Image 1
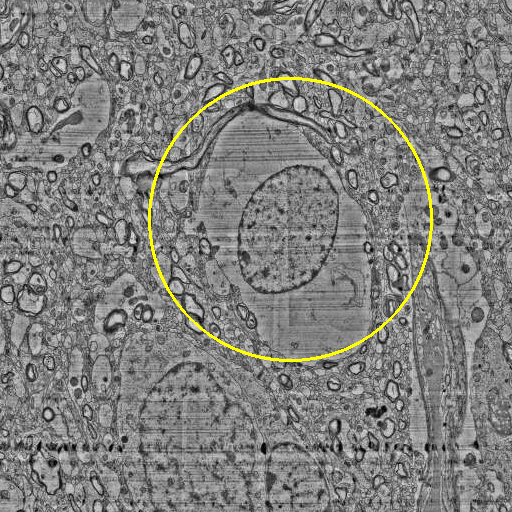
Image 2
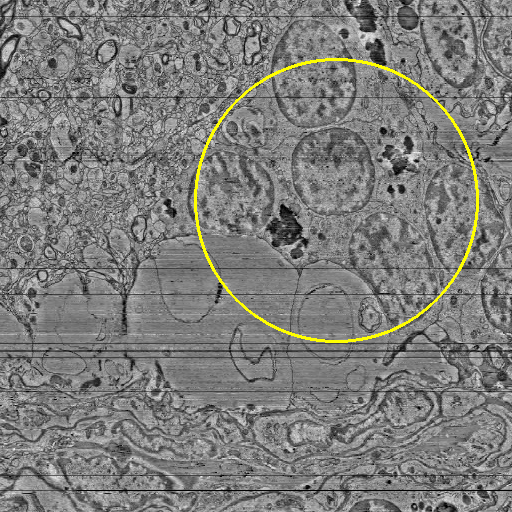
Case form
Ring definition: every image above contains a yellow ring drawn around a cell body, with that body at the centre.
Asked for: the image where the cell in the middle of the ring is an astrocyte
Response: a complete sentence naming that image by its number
Image 1 is the one.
